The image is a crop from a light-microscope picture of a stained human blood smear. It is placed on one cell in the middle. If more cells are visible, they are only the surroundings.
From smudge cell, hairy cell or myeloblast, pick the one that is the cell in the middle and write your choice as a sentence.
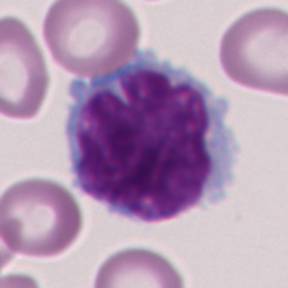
Standing at the centre of this crop is a myeloblast.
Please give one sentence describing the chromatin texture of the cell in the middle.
Just so you know, its chromatin is coarsely clumped.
